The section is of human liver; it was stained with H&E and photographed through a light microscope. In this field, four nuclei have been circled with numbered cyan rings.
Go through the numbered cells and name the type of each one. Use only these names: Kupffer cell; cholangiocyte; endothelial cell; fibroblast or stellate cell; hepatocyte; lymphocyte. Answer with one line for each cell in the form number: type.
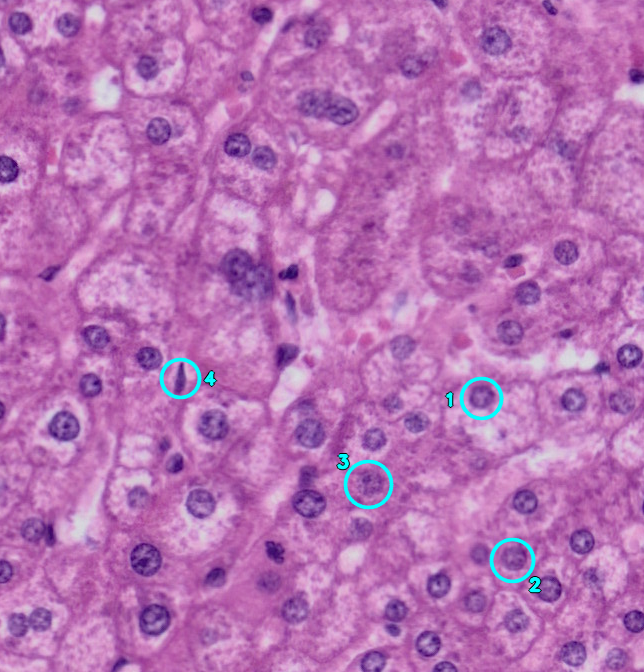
1: hepatocyte
2: hepatocyte
3: hepatocyte
4: endothelial cell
